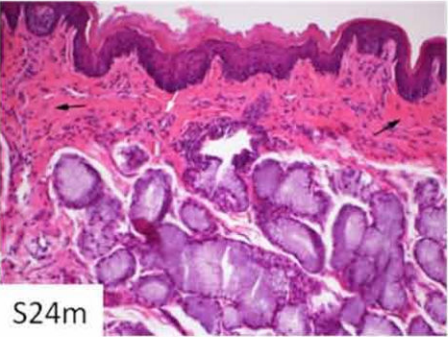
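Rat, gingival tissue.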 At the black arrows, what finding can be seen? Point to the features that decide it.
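The black arrows point into a broad band of dense, deeply pink fibrous tissue beneath the epithelium.
Fibrosis.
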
